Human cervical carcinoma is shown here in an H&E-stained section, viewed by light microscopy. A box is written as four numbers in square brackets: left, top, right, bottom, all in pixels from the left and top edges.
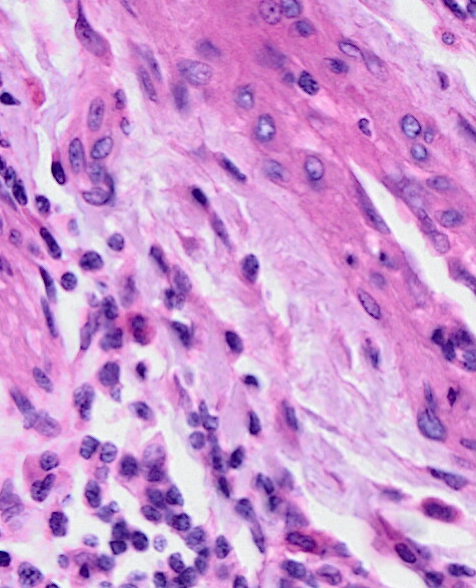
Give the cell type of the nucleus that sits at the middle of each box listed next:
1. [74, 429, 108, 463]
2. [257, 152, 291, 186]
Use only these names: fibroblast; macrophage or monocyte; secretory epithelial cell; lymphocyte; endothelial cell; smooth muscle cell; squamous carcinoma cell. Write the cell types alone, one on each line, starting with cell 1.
lymphocyte
smooth muscle cell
